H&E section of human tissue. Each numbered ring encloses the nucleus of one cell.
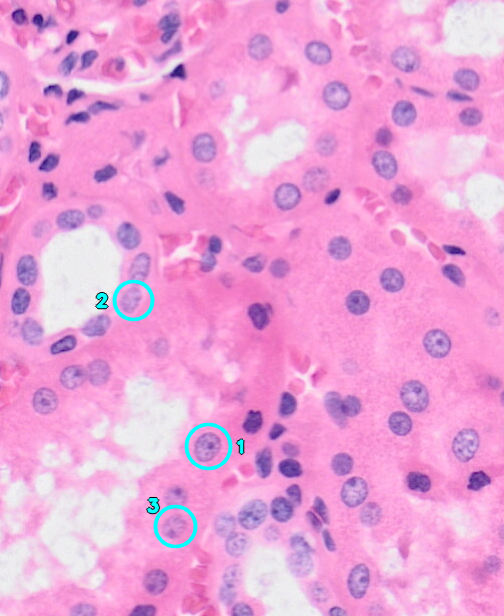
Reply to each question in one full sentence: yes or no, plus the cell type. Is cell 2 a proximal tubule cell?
No, the cell marked 2 is a collecting duct cell rather than a proximal tubule cell.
